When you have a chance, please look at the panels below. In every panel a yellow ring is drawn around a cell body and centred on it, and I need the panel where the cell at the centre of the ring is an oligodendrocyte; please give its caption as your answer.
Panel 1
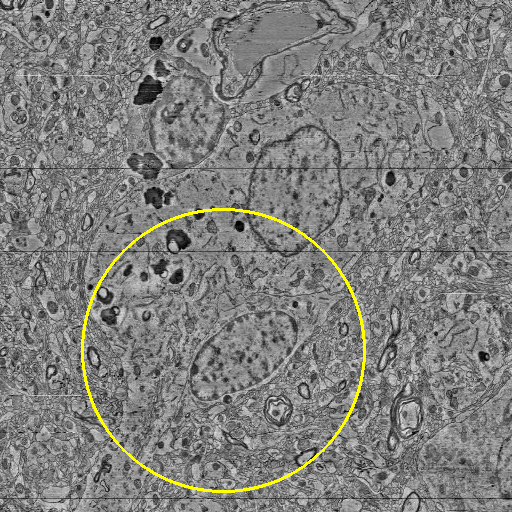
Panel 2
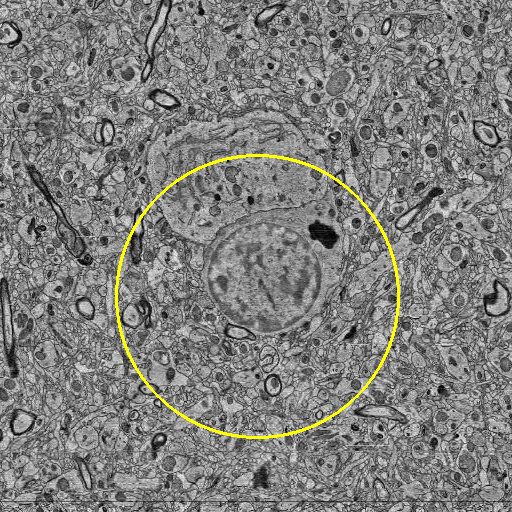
Panel 2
